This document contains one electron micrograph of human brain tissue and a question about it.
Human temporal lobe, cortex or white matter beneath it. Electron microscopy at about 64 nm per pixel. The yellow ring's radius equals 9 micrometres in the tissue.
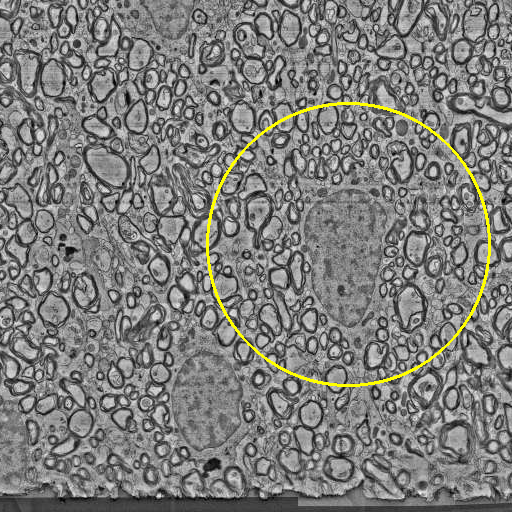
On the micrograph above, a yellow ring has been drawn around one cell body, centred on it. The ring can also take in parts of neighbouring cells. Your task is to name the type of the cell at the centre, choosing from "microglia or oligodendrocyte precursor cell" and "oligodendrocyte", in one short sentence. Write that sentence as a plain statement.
Here the ring is centred on an oligodendrocyte.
